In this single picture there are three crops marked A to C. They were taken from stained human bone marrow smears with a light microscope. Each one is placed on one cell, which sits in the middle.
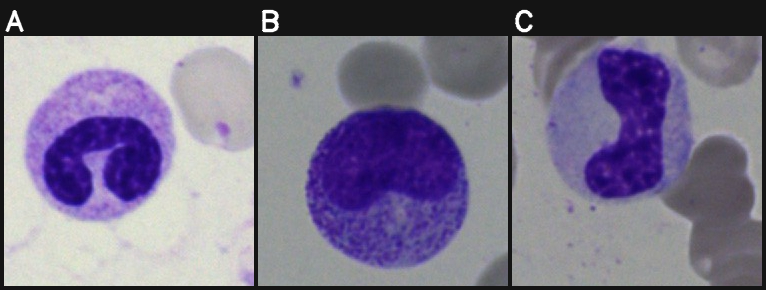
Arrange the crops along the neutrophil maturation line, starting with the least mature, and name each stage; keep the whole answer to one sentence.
The stages, ordered from least to most mature, are crop B (a metamyelocyte), crop C (a band neutrophil) and crop A (a segmented neutrophil).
